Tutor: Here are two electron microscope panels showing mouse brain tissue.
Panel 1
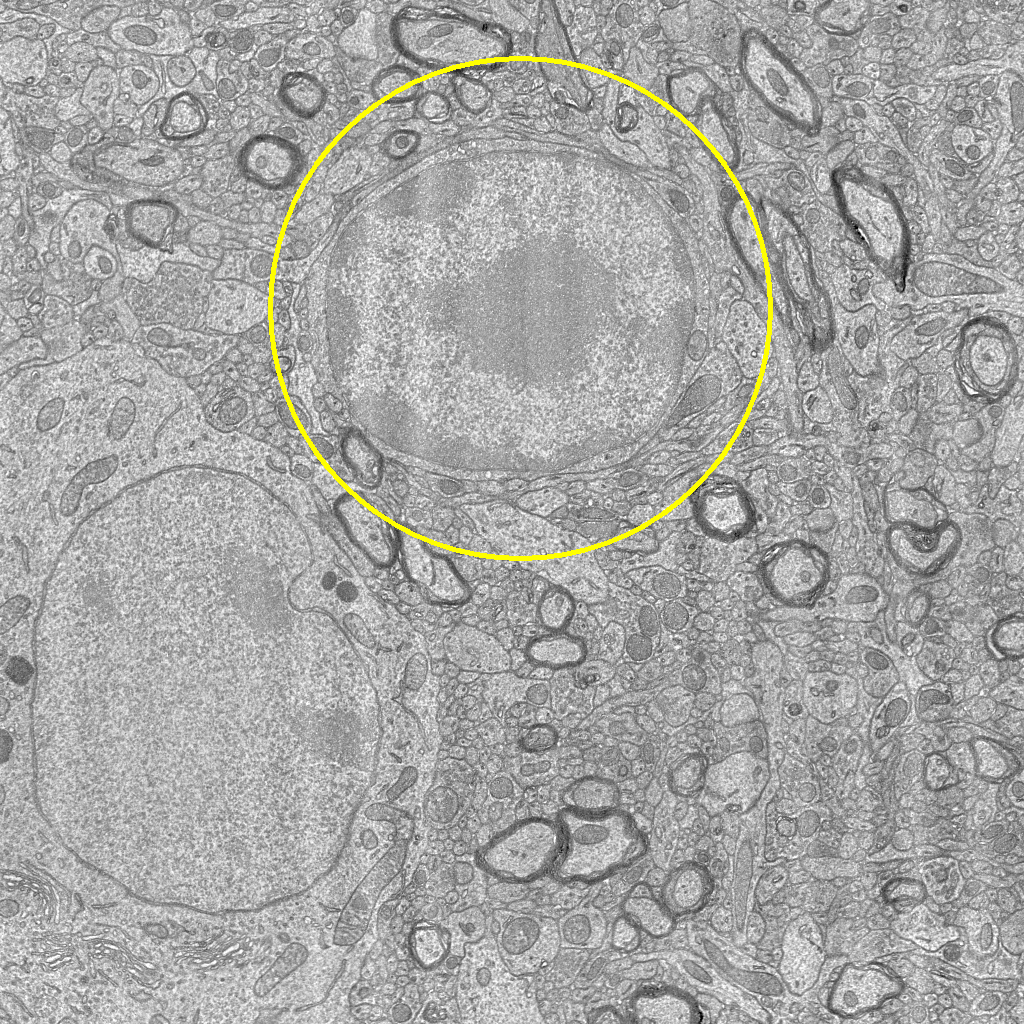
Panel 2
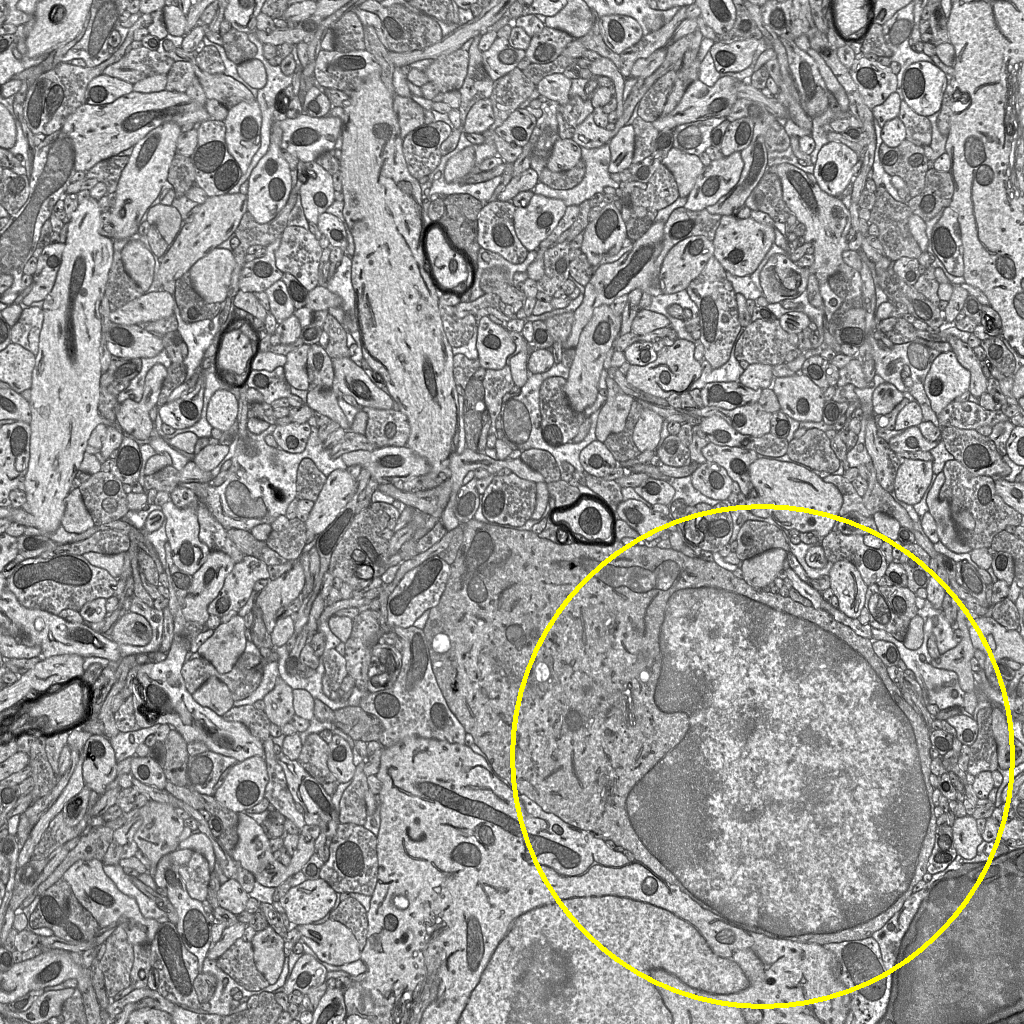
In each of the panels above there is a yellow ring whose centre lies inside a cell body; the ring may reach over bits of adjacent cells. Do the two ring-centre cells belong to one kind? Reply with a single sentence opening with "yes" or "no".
Yes, the two cells lying at the ring centres in the panels belong to one kind.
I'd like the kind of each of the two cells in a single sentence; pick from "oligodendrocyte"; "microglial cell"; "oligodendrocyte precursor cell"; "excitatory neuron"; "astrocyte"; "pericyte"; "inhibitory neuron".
Each cell, in the first picture and the second, is an oligodendrocyte.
